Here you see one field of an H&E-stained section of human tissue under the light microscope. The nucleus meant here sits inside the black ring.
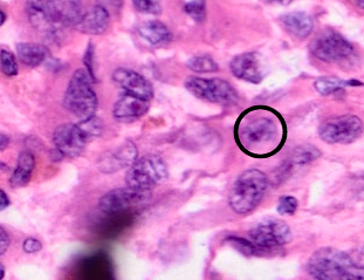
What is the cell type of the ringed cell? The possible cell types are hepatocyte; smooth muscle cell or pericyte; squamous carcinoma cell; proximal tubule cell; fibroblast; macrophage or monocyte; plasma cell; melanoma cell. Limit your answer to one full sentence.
Speaking plainly, the ringed cell is nothing other than a melanoma cell.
